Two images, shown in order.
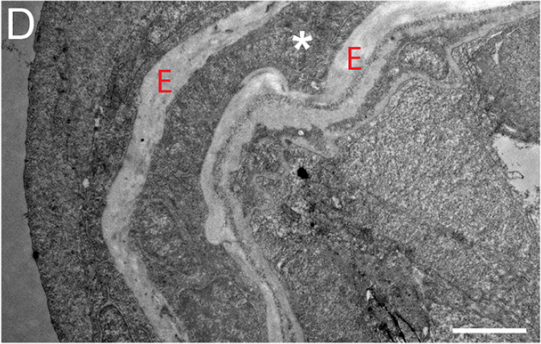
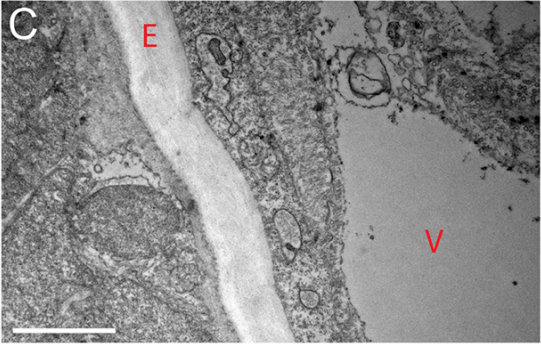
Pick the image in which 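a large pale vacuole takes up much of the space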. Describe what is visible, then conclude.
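The second image. First image: the field is filled with dense cytoplasm-rich cells and no large pale vacuole. Second image: a large smooth electron-lucent vacuole occupies the right part of the field.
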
